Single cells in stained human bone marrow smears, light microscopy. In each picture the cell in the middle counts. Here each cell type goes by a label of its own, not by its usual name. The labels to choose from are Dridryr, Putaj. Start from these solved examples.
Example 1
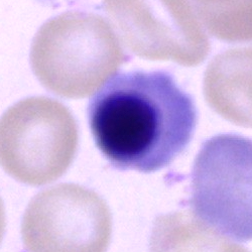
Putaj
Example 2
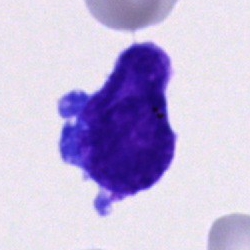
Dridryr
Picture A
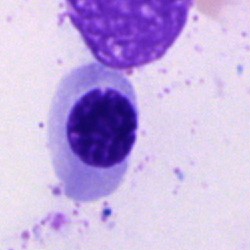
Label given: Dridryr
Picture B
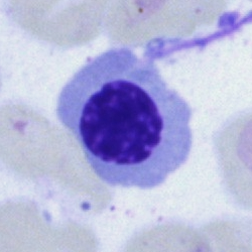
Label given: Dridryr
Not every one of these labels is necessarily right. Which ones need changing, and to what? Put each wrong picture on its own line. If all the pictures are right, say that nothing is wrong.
A: Putaj, not Dridryr
B: Putaj, not Dridryr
